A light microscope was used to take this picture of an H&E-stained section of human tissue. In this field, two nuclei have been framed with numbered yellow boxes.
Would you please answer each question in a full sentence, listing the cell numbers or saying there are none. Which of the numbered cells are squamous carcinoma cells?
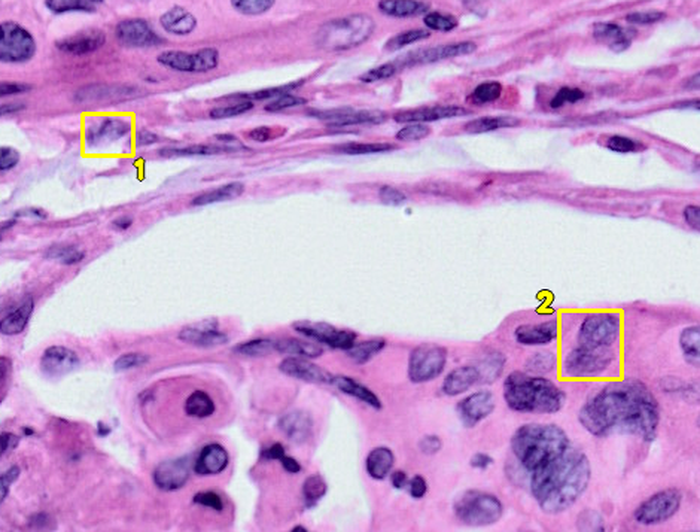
Nothing but cell 2 is a squamous carcinoma cell among the numbered ones.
